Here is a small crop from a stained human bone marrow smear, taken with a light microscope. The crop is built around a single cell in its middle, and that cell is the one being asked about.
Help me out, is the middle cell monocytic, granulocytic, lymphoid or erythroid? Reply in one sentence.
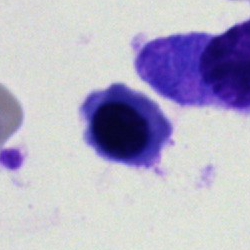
That the central cell belongs to the erythroid lineage is the finding here.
